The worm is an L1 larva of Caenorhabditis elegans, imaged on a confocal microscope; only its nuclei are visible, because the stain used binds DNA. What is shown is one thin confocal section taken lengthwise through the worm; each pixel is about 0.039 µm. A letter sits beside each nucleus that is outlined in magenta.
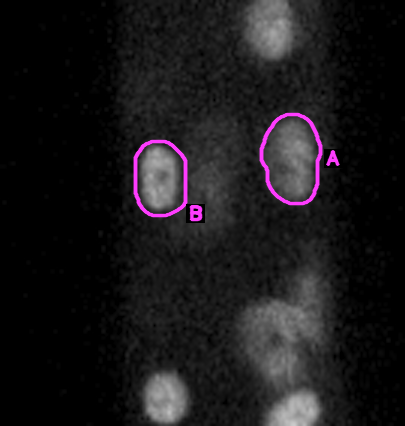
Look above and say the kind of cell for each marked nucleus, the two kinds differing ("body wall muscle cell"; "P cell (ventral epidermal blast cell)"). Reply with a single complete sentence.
A is the nucleus of a P cell (ventral epidermal blast cell); B is the nucleus of a body wall muscle cell.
